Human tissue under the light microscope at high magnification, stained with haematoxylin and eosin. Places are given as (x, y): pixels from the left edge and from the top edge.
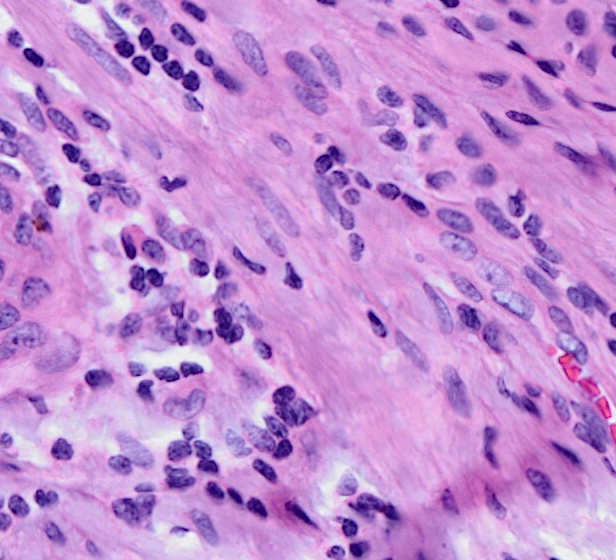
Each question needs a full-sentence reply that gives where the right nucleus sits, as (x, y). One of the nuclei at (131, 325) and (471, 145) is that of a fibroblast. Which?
The nucleus that belongs to a fibroblast is located at (471, 145).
